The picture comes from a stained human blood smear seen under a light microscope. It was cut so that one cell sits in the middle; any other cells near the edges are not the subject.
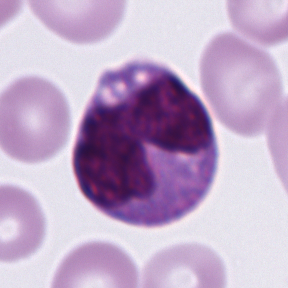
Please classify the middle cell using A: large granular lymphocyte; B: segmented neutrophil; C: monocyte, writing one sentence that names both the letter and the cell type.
The centered cell is a monocyte, which is why option C is right.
